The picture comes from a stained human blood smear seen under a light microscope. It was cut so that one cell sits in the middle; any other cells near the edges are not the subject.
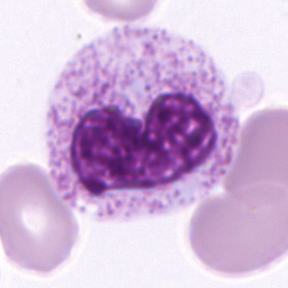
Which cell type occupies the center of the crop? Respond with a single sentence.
Occupying the centre of the crop is a band neutrophil.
